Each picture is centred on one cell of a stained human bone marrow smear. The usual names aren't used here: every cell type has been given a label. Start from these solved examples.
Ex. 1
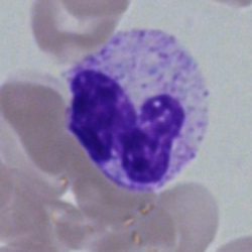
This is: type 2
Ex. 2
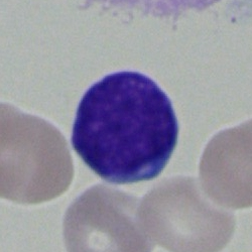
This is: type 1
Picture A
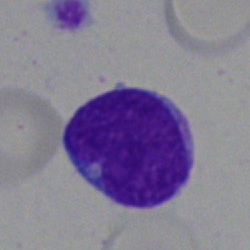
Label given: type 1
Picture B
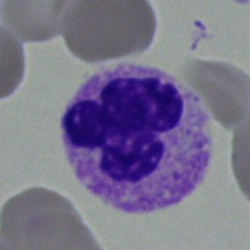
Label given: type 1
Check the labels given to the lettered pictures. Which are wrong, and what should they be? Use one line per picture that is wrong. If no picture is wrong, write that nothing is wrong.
B: not type 1 but type 2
